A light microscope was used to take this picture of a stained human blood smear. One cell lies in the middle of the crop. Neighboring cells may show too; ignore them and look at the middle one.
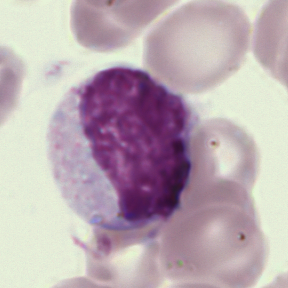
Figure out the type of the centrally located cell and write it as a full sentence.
In the crop, the cell of interest at the centre is a metamyelocyte.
